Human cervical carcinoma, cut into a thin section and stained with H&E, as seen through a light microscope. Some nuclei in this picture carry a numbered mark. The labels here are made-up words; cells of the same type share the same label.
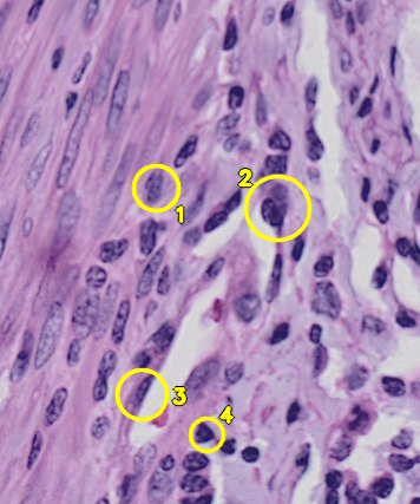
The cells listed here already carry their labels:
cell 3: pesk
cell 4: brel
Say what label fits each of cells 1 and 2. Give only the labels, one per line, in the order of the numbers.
brel
brel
